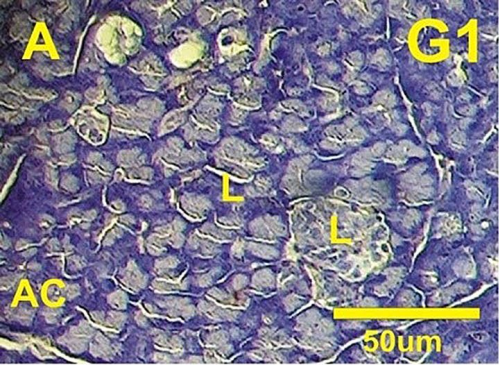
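Pancreatic tissue with closely packed acini of acinar cells and a rounded islet of Langerhans. The acini are small rounded to polygonal units with dark purple-blue cytoplasm, separated by narrow clear clefts. The islet is a paler, rounded cluster of cells lying within the acinar tissue. Its cells are lighter-staining than the surrounding acini and are loosely packed, not grouped into acini. A few clear spaces lie at the upper edge of the section. Otherwise the acinar tissue looks uniform, without vacuoles.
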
